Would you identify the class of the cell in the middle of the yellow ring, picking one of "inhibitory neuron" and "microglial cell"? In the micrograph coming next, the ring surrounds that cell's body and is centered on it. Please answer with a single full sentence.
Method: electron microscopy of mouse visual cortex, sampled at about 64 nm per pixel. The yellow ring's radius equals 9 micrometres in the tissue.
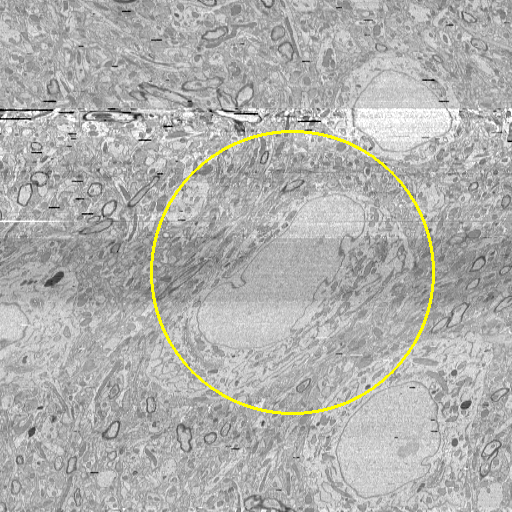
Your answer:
In the micrograph, it is an inhibitory neuron whose body lies at the ring's center.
